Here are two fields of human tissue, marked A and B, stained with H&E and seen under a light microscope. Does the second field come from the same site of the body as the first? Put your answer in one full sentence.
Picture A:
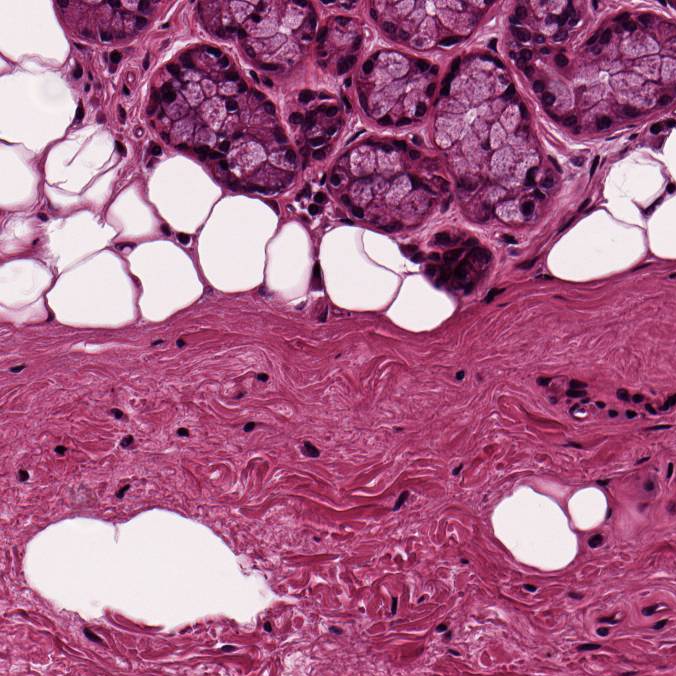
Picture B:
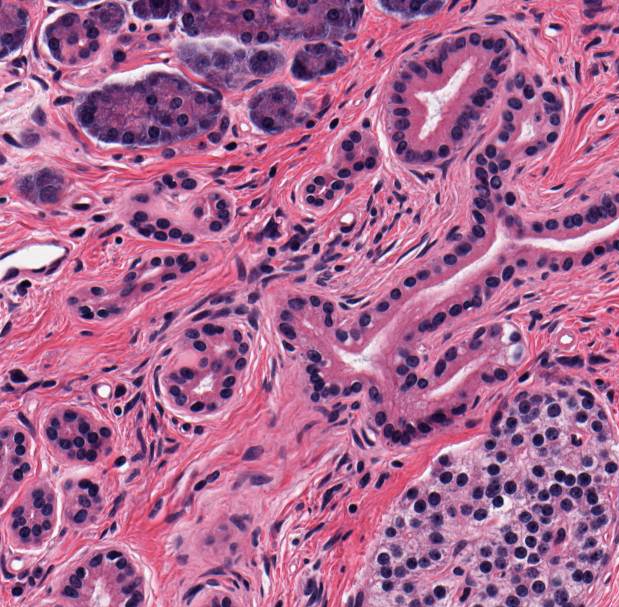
No, they differ: picture A comes from a minor salivary gland, and picture B comes from the pancreas.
